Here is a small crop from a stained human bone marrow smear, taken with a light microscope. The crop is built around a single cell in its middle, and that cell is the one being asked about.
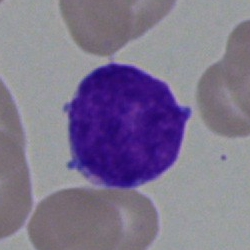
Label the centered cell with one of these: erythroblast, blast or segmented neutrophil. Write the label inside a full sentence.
Located at the centre of the crop is a blast.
